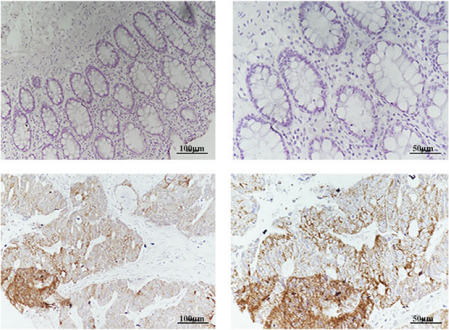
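The upper row shows normal colonic mucosa and the lower row shows colorectal cancer, both at two magnifications. In the normal mucosa the crypts are cut across as neat round rings, each lined by a single layer of columnar cells. Many of these are goblet cells, with pale, clear mucin-filled cytoplasm and small dark nuclei pushed to the base, and the tissue takes only the blue counterstain with hardly any brown. In the tumor the orderly crypts are gone: the epithelium forms crowded, irregular sheets and distorted glands separated by strands of pale stroma.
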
